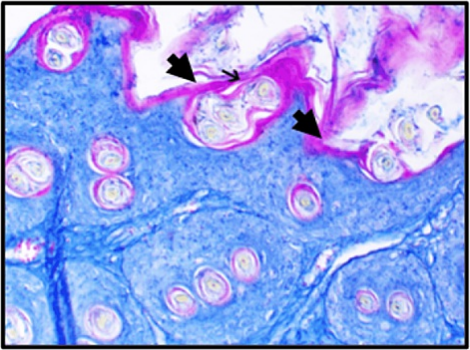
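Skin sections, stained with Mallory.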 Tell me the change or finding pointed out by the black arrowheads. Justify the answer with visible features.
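The arrowheads point to a thick, folded, deep-magenta layer on the surface. This layer is much thicker than a thin surface line and lifts away in sheets.
Hence: hyperkeratosis.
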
